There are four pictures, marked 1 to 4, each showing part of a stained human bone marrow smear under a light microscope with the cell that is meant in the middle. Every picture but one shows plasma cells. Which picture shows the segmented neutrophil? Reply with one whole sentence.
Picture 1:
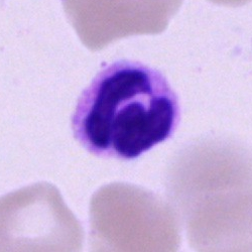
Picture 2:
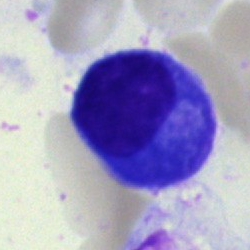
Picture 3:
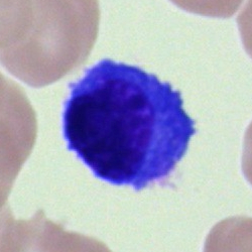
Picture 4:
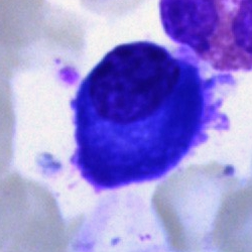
Picture 1 shows the segmented neutrophil.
